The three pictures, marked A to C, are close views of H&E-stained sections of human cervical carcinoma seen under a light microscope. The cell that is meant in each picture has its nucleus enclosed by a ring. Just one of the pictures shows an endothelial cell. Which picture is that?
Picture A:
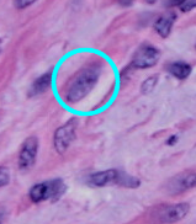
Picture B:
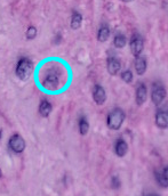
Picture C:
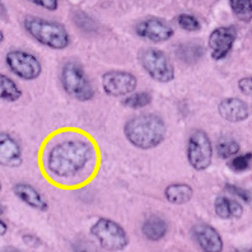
A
